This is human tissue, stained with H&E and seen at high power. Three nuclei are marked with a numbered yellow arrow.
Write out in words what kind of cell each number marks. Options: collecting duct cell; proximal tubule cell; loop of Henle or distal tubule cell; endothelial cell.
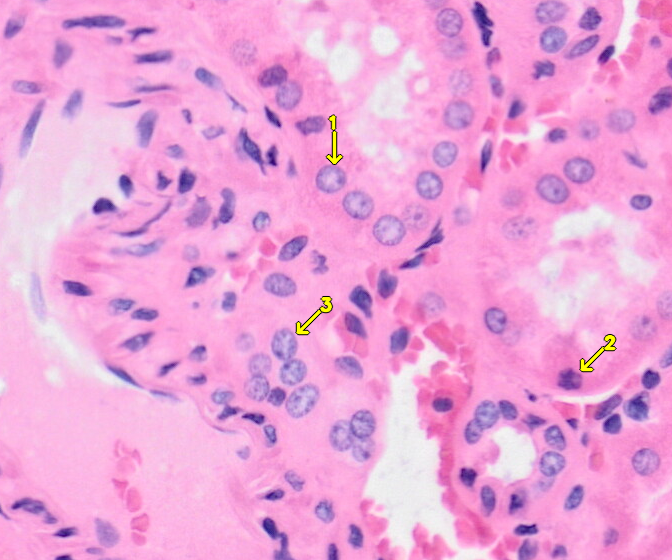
Cell 1 is a proximal tubule cell, cell 2 is a proximal tubule cell and cell 3 is a collecting duct cell.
